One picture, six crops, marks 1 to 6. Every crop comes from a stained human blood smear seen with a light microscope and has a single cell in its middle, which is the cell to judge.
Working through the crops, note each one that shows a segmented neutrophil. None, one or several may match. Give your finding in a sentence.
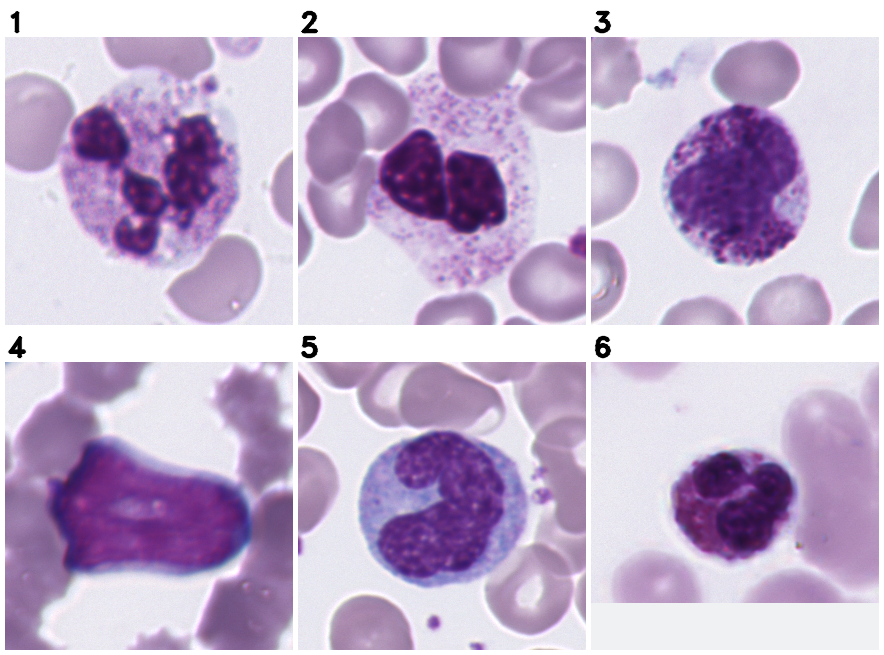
What crops 1 and 2 show in the centre are segmented neutrophils.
